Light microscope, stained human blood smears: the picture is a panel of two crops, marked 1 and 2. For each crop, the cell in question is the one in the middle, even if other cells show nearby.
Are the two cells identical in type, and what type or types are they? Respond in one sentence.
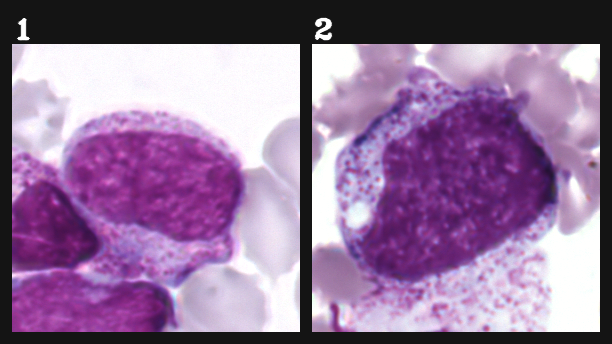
Yes, in both of the crops, the central cells are myelocytes.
